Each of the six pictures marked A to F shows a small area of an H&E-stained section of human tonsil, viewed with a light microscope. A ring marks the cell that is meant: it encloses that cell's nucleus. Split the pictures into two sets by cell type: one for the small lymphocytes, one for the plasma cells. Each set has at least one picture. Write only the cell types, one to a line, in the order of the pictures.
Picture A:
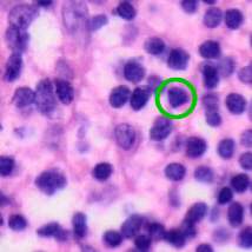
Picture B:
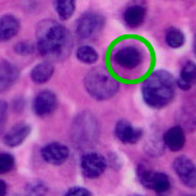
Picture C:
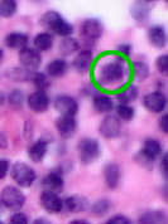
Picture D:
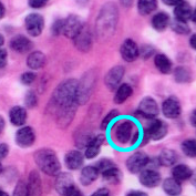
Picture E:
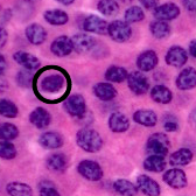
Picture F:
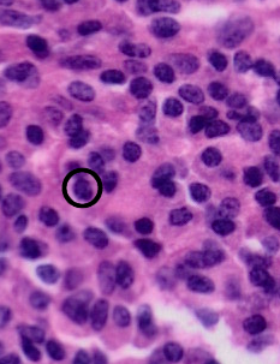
small lymphocyte
plasma cell
small lymphocyte
small lymphocyte
plasma cell
plasma cell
